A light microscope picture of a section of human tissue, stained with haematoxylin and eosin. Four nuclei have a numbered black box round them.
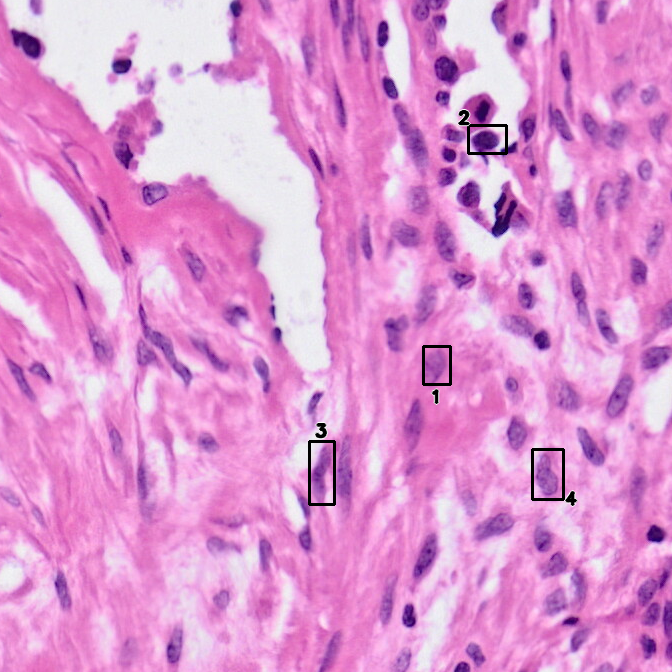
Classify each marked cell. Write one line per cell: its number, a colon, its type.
1: fibroblast
2: carcinoma cell
3: fibroblast
4: fibroblast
